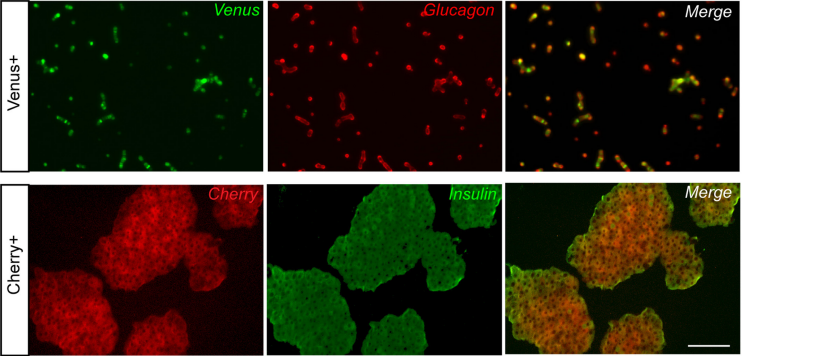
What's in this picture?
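In the upper row the cells lie singly or in small groups of two or three, scattered widely over a dark background. Each is a small round or slightly elongated bright spot, and where the green and red channels overlap the cells appear yellow-orange. In the lower row the cells grow as large, flat, tightly packed sheets with irregular outlines. Small dark round spots, likely nuclei, dot the sheets evenly. Red and green fill the same sheets, so the overlay appears orange.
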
